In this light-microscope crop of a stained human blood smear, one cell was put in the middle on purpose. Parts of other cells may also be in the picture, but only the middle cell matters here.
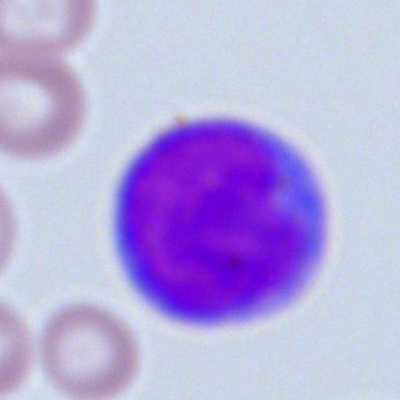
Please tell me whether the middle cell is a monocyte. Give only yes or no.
no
